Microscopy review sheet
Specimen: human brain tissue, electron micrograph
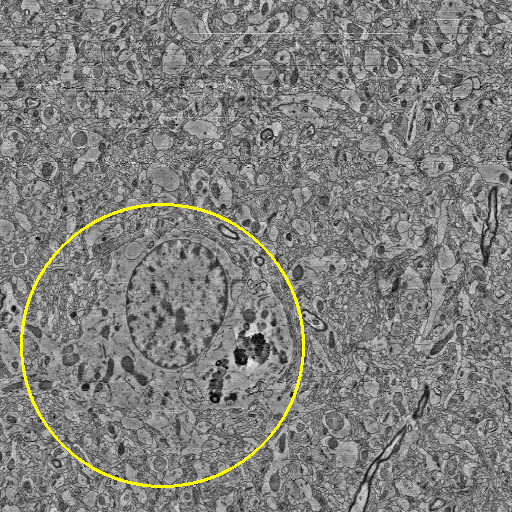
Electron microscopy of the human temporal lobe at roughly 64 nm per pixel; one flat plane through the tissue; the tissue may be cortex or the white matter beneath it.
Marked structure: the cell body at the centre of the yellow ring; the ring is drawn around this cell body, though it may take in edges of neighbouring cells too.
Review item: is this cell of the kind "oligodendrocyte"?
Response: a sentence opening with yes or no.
No, this cell is of another kind.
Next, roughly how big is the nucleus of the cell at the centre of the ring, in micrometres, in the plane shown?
In this plane, about 9 micrometres in length and 6 in width.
